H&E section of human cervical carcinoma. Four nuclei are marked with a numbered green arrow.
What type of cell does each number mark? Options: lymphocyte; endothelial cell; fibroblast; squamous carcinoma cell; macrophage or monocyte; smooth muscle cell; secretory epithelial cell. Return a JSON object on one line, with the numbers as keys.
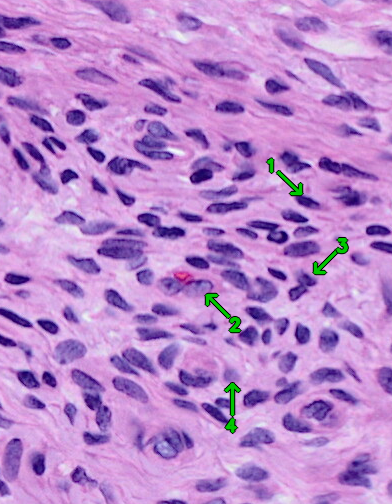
{"1": "fibroblast", "2": "endothelial cell", "3": "fibroblast", "4": "fibroblast"}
